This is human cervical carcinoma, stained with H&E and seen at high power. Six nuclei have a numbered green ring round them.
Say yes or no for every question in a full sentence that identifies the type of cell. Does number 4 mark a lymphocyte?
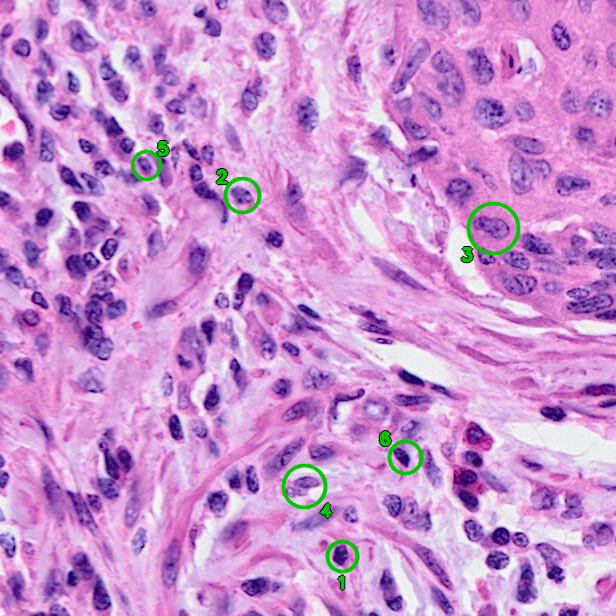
No, the marker 4 sits on a macrophage or monocyte, not on a lymphocyte.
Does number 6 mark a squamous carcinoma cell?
No, cell 6 counts as a lymphocyte rather than as a squamous carcinoma cell.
